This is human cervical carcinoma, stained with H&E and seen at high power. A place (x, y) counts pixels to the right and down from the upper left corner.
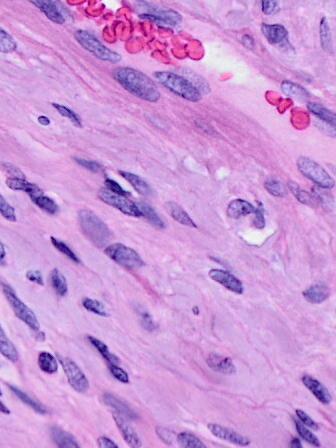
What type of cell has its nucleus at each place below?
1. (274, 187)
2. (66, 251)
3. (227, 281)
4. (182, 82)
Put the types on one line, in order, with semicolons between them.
smooth muscle cell; fibroblast; fibroblast; endothelial cell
